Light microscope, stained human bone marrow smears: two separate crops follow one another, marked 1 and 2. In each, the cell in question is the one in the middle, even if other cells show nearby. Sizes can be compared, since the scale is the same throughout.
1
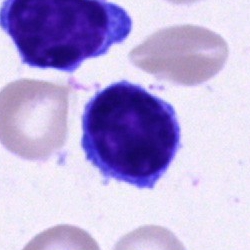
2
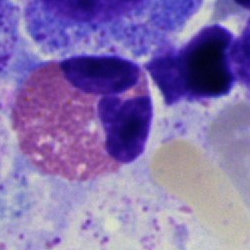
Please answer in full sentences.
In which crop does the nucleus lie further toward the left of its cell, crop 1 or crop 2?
It is the nucleus in crop 1 that lies further toward the left of its cell.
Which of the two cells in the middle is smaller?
It is the cell in crop 1; the cell in crop 2 has about 2 times its area.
